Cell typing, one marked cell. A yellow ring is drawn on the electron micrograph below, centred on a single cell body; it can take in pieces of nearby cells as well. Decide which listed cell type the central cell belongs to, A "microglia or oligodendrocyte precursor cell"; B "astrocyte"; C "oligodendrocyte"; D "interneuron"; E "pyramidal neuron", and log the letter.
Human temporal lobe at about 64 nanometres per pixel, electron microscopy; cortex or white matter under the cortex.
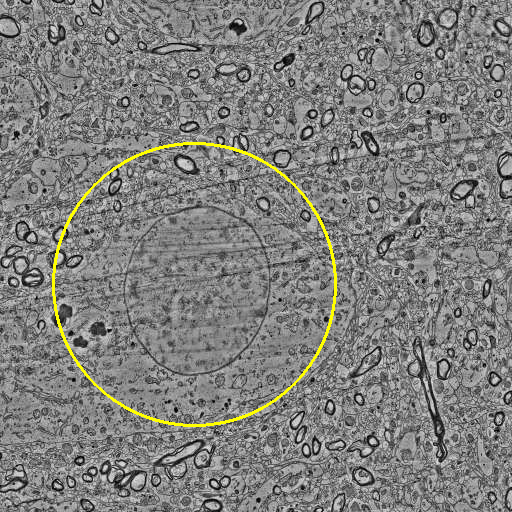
E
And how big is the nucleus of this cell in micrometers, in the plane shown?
The nucleus has a long axis of about 11 micrometres and a short axis of about 9 micrometres in this plane.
